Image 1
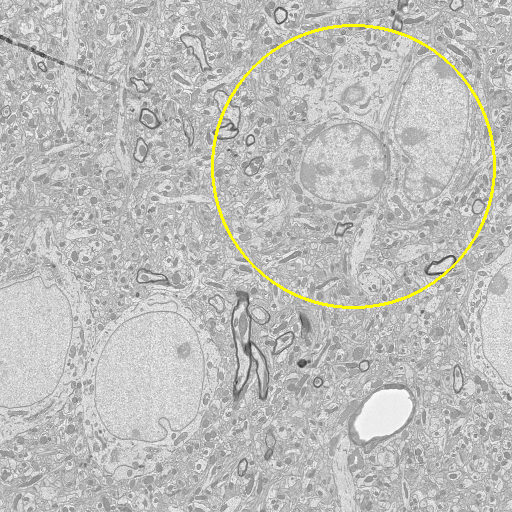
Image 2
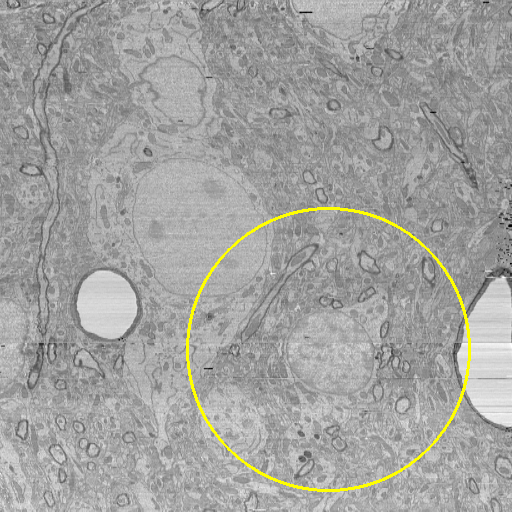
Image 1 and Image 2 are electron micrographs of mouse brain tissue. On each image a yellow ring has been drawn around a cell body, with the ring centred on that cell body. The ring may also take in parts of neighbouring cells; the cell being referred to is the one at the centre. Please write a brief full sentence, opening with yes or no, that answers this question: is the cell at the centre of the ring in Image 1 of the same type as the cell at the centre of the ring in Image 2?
Yes, both cells are of the same type.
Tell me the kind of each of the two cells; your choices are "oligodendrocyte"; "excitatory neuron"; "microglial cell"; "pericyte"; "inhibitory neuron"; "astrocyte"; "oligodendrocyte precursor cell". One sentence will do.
Both cells are the same kind, each one being an oligodendrocyte.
